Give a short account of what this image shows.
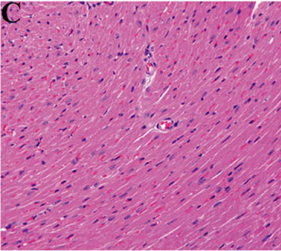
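Heart muscle cut along the length of its fibers, with closely packed pink cardiac muscle cells running in parallel, slightly wavy rows. Each fiber has evenly stained pink cytoplasm and oval to elongated dark blue nuclei lying within it, spaced fairly regularly. The fibers lie tightly against one another with little space between them. A small vessel near the center and a few scattered red blood cells are seen, without clusters of extra nuclei.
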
